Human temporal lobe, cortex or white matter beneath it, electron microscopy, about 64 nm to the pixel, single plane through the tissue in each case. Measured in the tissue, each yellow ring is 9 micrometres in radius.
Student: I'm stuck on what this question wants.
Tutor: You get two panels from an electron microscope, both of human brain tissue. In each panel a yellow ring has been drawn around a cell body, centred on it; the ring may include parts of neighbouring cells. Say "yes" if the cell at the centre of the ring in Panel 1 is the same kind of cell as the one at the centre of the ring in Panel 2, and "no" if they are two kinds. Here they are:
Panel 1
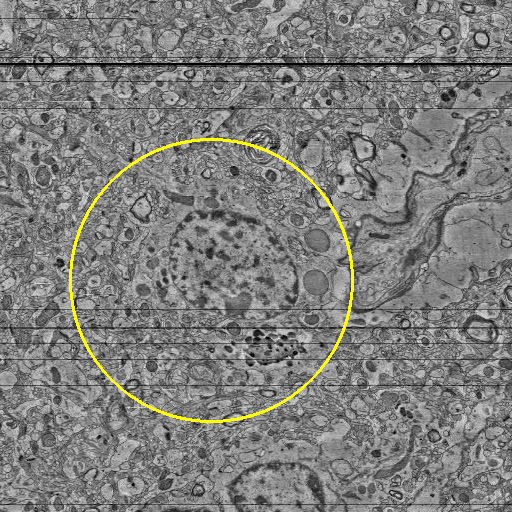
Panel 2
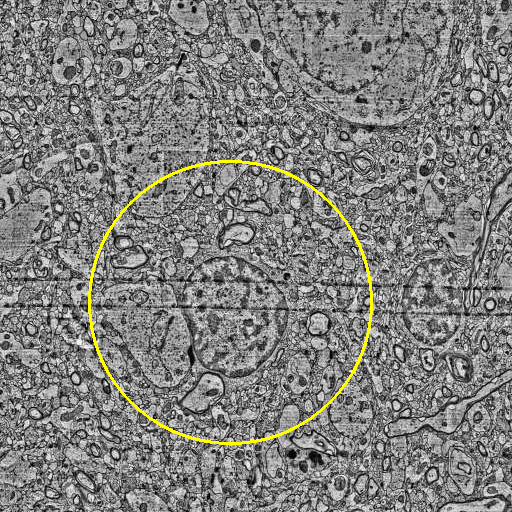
no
